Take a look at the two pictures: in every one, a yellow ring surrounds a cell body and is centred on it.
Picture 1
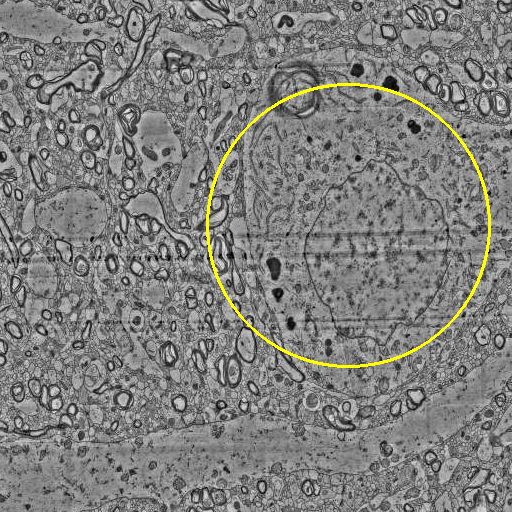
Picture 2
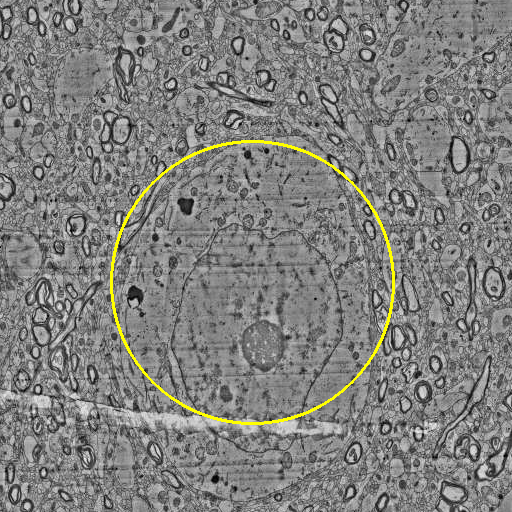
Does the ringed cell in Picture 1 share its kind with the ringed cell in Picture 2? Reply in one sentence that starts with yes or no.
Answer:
Yes, the two centred cells, one per picture, are of one kind.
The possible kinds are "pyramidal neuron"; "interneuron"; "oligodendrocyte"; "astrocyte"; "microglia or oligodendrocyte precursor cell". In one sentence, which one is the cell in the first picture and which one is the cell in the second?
In each of the two pictures, the ringed cell is a pyramidal neuron.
